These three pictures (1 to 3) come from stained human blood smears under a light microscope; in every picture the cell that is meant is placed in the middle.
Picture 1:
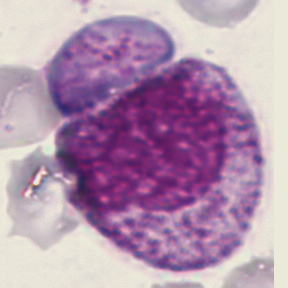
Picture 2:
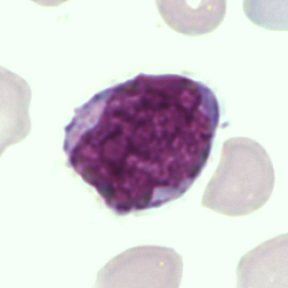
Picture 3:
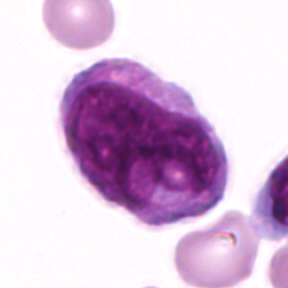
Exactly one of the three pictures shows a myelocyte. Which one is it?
1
